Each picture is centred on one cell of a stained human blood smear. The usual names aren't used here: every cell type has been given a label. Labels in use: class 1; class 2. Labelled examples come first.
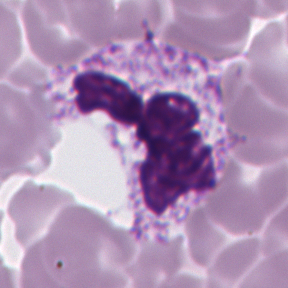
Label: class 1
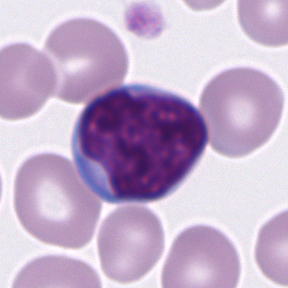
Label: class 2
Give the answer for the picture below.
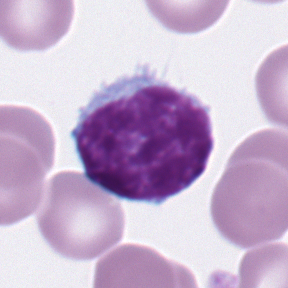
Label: class 2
